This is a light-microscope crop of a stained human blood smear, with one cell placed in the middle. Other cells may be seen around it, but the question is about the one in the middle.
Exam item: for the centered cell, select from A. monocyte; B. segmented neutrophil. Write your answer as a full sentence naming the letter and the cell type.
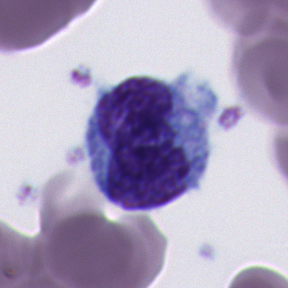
Since the cell in the middle is a monocyte, option A is correct.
